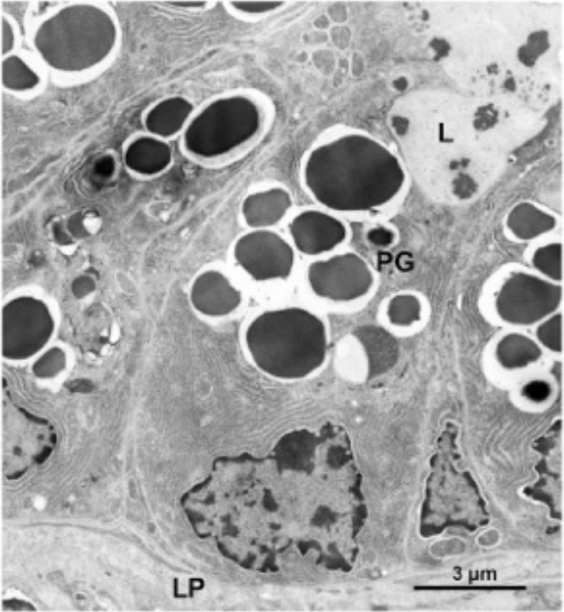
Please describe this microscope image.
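Pyramidal epithelial cells sit on the lamina propria with irregular nuclei at their base and parallel stacks of rough endoplasmic reticulum around them, while their apical cytoplasm toward the crypt lumen is filled with large round electron-dense granules each ringed by a pale halo. These are Paneth cells at the crypt base with their secretory granules gathered at the apex.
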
